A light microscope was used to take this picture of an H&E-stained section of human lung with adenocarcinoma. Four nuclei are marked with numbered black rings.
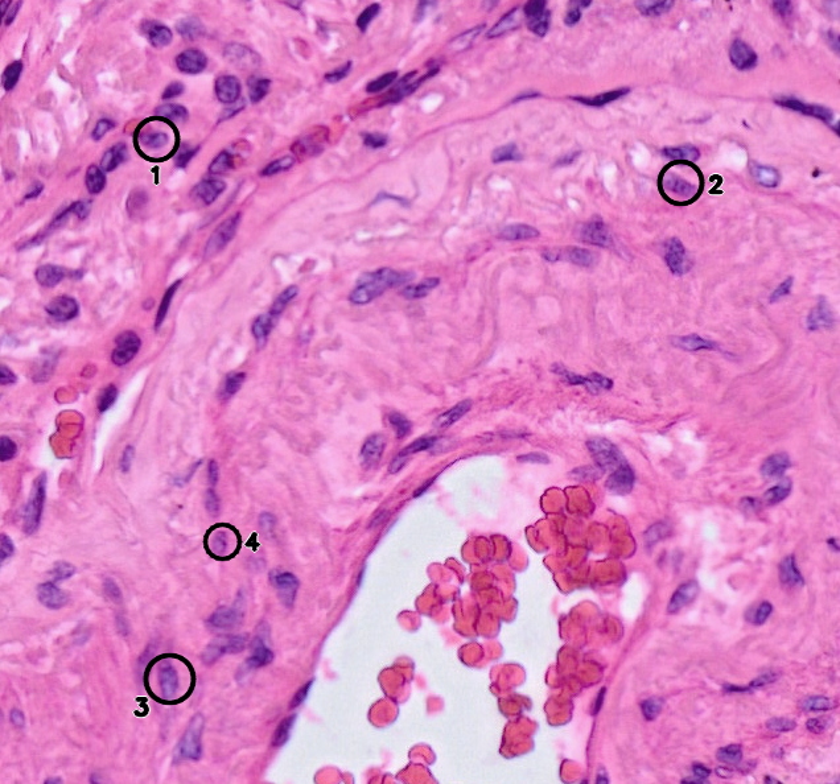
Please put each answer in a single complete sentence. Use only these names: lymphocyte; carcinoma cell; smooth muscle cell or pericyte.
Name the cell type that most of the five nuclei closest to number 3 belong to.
The majority of the five nuclei closest to number 3 belong to smooth muscle cells or pericytes.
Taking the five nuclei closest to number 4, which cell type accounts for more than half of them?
Around number 4, most of the five nearest nuclei are those of smooth muscle cells or pericytes.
